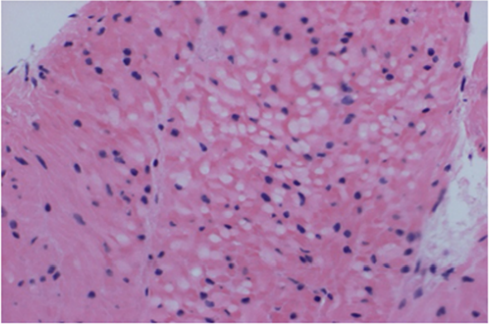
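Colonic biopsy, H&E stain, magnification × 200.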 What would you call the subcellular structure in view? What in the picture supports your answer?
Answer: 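Many small clear round holes lie within the pink cytoplasm. The clear spaces are crowded in the central part of the field.
Answer: intracytoplasmic vacuoles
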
